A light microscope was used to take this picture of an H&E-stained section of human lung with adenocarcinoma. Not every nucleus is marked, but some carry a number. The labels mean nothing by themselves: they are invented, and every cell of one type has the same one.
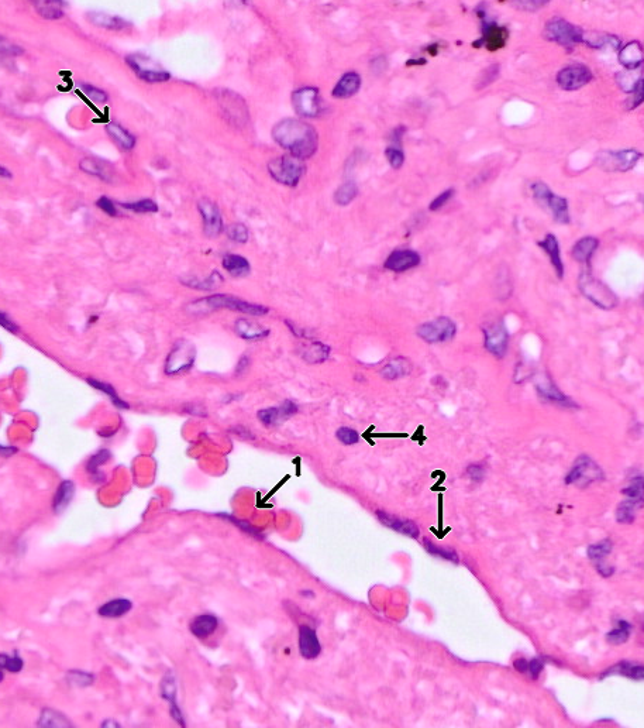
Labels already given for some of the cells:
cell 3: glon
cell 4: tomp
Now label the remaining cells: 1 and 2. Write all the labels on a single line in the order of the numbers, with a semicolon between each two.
glon; glon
